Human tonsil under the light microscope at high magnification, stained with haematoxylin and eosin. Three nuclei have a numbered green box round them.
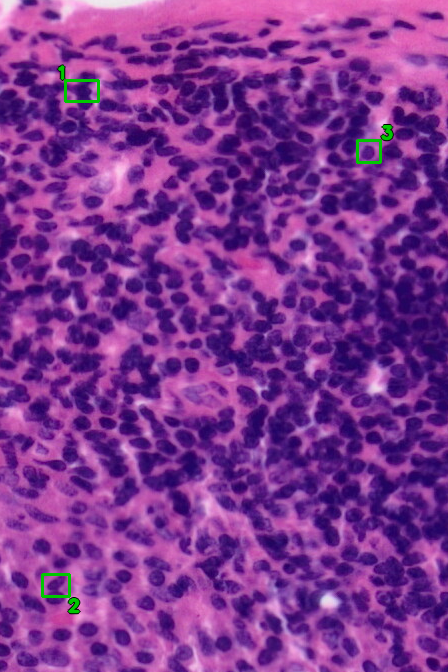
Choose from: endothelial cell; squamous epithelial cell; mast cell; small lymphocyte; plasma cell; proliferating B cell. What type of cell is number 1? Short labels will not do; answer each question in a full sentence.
The nucleus marked 1 is the nucleus of a small lymphocyte.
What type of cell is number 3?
The cell identified by number 3 is a small lymphocyte.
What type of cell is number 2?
The cell indicated by marker 2 is a plasma cell in this section.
